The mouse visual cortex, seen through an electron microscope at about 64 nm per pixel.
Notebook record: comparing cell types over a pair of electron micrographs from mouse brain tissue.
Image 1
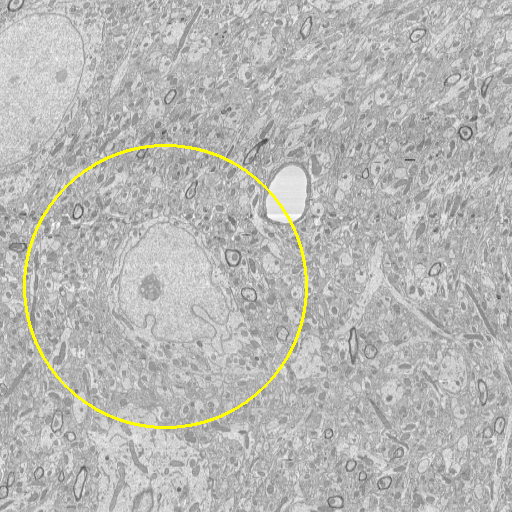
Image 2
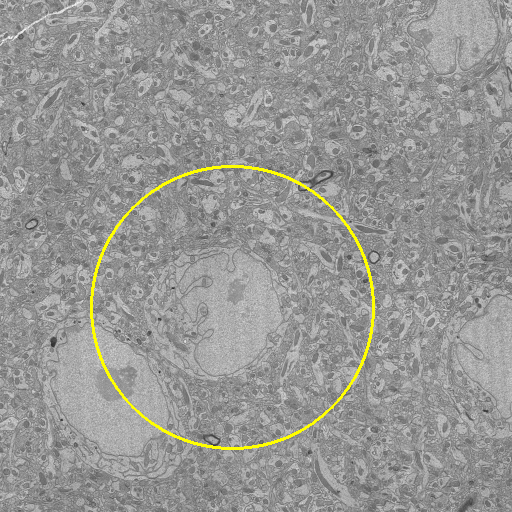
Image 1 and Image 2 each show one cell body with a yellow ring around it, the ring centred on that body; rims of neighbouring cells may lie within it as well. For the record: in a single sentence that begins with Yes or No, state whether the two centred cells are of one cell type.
Yes, one cell type is shared by the centred cells of Image 1 and Image 2.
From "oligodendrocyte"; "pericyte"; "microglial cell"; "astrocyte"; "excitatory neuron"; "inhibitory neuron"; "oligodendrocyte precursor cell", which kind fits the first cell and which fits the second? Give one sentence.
The first and the second cell are each an inhibitory neuron.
